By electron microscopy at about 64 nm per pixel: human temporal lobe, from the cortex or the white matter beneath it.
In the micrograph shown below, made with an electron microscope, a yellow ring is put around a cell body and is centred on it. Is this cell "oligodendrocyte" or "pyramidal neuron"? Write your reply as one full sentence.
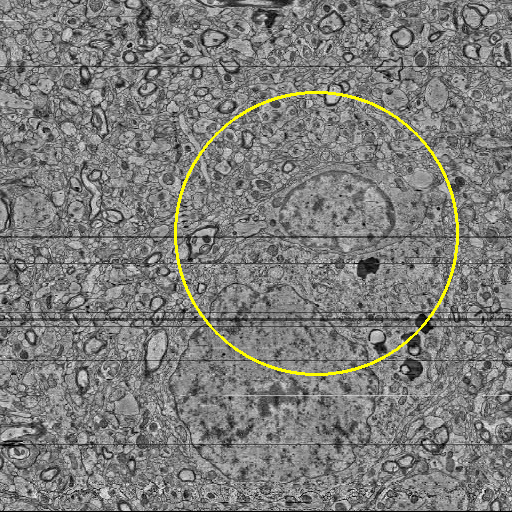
In the micrograph, an oligodendrocyte is the cell at the centre of the yellow ring.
